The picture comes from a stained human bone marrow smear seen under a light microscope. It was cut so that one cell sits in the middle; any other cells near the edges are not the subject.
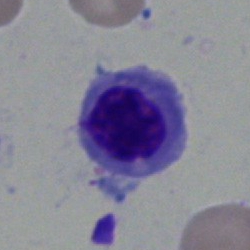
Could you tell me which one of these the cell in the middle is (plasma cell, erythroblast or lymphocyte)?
erythroblast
